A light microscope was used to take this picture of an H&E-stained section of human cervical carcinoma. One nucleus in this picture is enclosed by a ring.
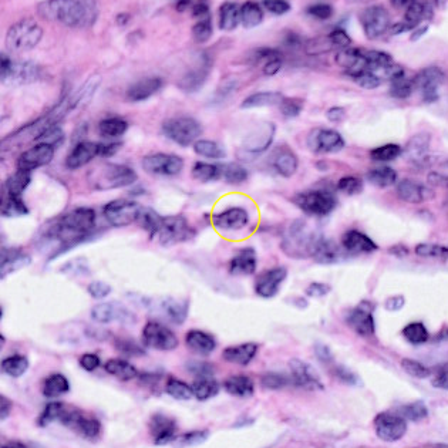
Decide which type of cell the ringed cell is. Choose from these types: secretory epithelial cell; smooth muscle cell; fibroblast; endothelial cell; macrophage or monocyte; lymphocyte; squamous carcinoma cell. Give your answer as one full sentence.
In terms of identity, the ringed cell is a lymphocyte.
